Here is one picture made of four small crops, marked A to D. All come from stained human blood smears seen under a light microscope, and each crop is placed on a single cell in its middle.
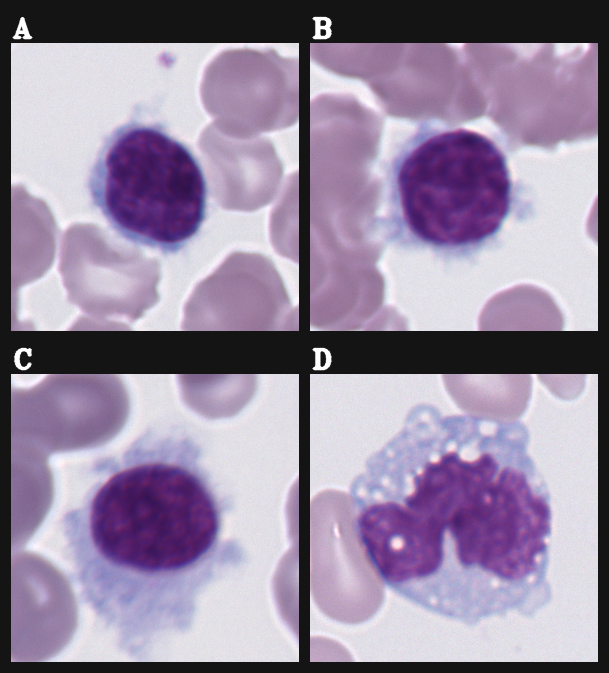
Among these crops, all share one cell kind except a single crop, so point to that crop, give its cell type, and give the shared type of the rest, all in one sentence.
In every crop except crop D, which shows a monocyte, hairy cells are shown.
